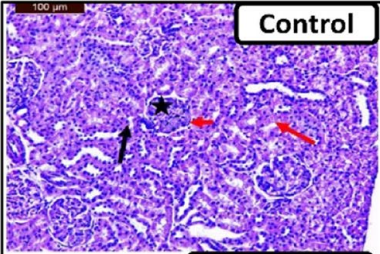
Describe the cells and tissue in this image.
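Kidney cortex with several round glomeruli, each a tuft of packed purple nuclei set in a clear space within a thin capsule, lies among many cross-cut tubules. Some tubules are lined by cuboidal cells with pink cytoplasm and narrow lumens, others by lower cells around wider clear lumens. The tubules lie close together with little tissue between them, and nothing looks disrupted.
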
